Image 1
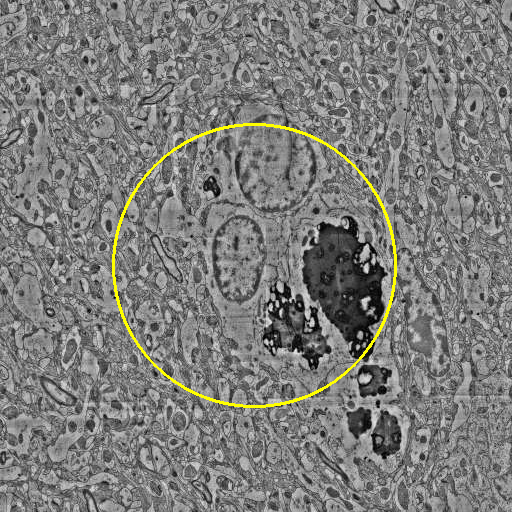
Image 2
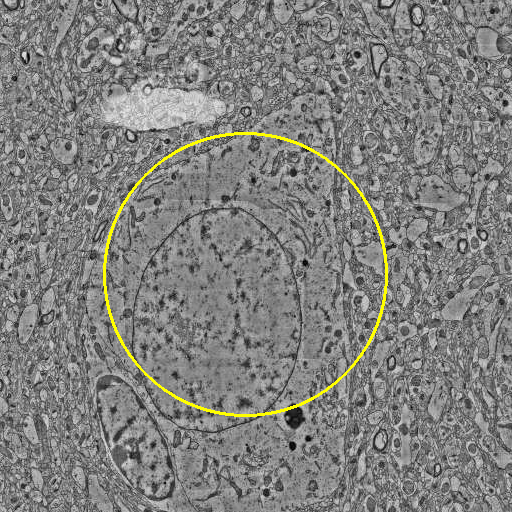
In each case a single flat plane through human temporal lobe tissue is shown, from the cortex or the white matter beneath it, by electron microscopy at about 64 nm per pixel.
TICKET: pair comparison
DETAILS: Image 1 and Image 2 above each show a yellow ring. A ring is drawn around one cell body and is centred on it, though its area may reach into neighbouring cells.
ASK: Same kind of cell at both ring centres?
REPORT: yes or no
no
